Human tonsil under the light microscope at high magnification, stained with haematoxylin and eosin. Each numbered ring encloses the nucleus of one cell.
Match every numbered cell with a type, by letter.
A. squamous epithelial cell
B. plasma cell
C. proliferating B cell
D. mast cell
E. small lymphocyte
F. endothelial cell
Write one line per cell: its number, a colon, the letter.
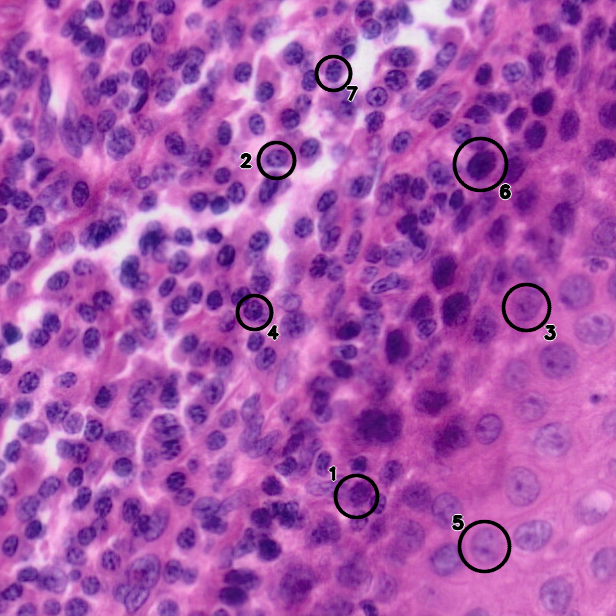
1: A
2: B
3: A
4: B
5: A
6: A
7: B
